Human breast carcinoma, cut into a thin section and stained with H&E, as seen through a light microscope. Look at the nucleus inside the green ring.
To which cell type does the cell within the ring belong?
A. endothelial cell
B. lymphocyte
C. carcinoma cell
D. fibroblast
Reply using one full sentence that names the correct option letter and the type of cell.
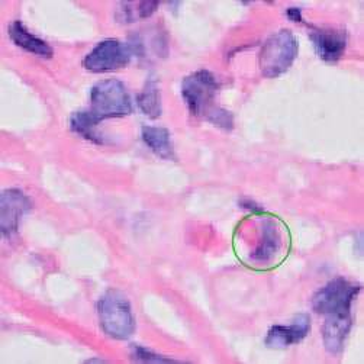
Here the correct option is A, since the cell within the ring is an endothelial cell.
